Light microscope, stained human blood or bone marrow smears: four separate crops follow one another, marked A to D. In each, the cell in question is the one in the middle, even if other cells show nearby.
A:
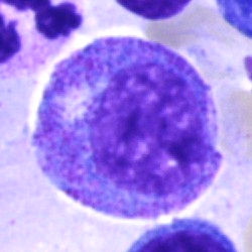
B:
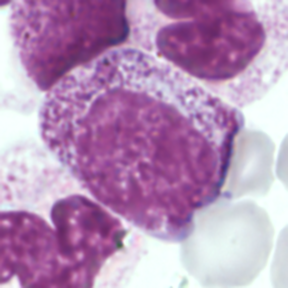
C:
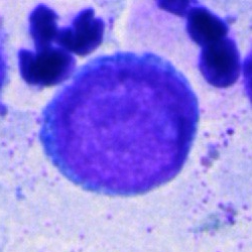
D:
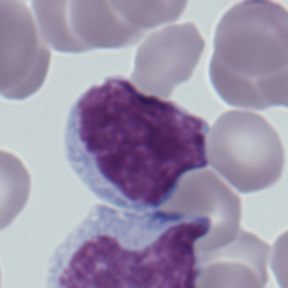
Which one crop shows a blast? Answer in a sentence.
Crop C, of the crops presented, is the one showing a blast.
